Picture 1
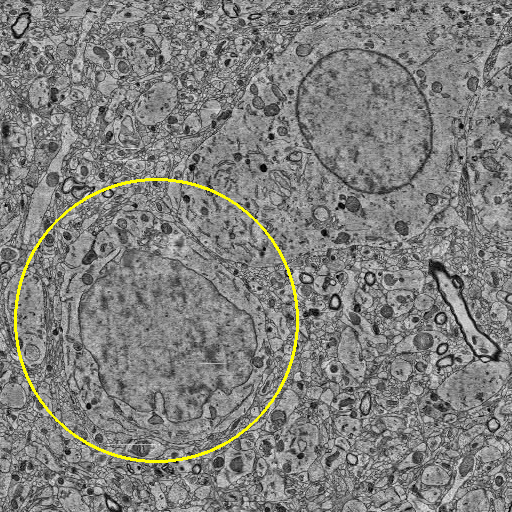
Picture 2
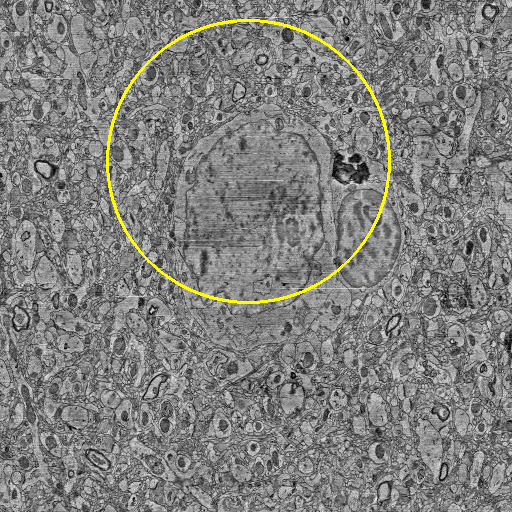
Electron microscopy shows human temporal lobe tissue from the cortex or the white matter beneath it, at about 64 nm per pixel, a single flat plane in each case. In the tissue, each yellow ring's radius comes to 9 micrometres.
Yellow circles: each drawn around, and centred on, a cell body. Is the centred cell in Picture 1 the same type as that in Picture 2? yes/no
yes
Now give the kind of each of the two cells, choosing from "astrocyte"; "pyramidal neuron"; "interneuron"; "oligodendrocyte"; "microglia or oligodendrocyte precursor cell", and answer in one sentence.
The second cell is an interneuron, just as the first is.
